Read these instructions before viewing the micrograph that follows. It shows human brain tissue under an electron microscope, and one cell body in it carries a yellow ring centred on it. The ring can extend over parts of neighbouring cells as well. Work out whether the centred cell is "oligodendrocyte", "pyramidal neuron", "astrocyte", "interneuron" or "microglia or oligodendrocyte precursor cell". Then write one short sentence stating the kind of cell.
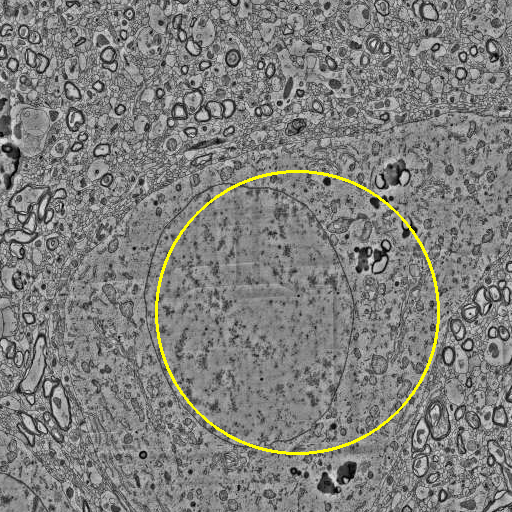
The ringed cell is a pyramidal neuron.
